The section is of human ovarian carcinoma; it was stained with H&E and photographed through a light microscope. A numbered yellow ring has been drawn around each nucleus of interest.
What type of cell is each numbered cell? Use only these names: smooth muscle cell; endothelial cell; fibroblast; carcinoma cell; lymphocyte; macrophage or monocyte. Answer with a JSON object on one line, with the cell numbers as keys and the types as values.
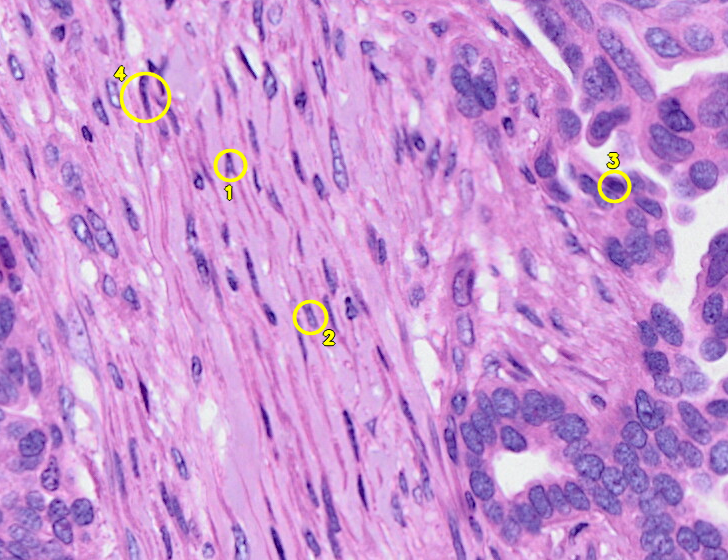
{"1": "fibroblast", "2": "fibroblast", "3": "carcinoma cell", "4": "fibroblast"}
